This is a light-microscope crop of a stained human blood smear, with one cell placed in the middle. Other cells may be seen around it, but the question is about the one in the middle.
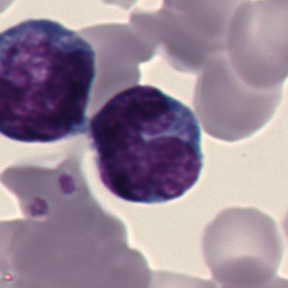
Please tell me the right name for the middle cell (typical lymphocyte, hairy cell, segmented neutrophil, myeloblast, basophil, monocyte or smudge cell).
typical lymphocyte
